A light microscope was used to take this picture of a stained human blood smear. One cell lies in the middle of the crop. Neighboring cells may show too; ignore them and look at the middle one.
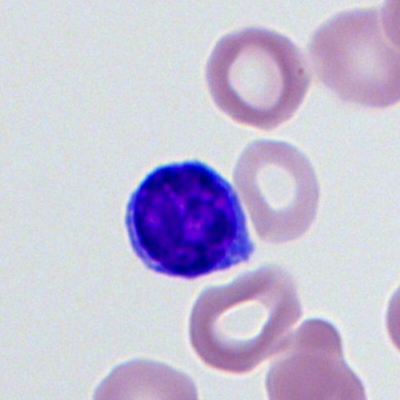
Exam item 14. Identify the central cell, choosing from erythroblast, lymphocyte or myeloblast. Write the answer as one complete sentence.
Standing at the centre of this crop is a lymphocyte.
